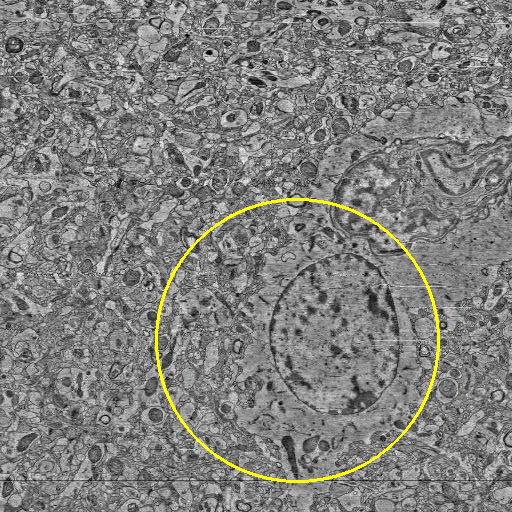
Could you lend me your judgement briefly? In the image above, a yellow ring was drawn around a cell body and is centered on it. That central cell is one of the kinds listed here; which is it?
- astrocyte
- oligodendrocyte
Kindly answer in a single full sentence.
Going by the list, an astrocyte is the kind at the ring's center in the picture.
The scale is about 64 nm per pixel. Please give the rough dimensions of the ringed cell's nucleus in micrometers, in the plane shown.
The nucleus measures about 11 by 8 micrometres in this plane.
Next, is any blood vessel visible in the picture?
Yes.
